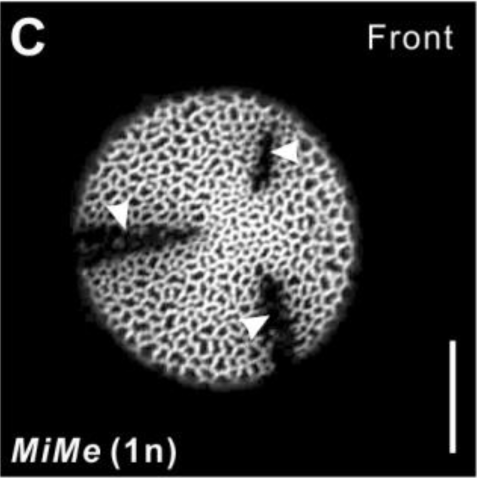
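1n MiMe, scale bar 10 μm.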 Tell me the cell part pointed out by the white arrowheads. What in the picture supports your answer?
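Three short dark furrows radiate toward a central area. Furrows lack the reticulate surface pattern.
Hence: Apertures.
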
